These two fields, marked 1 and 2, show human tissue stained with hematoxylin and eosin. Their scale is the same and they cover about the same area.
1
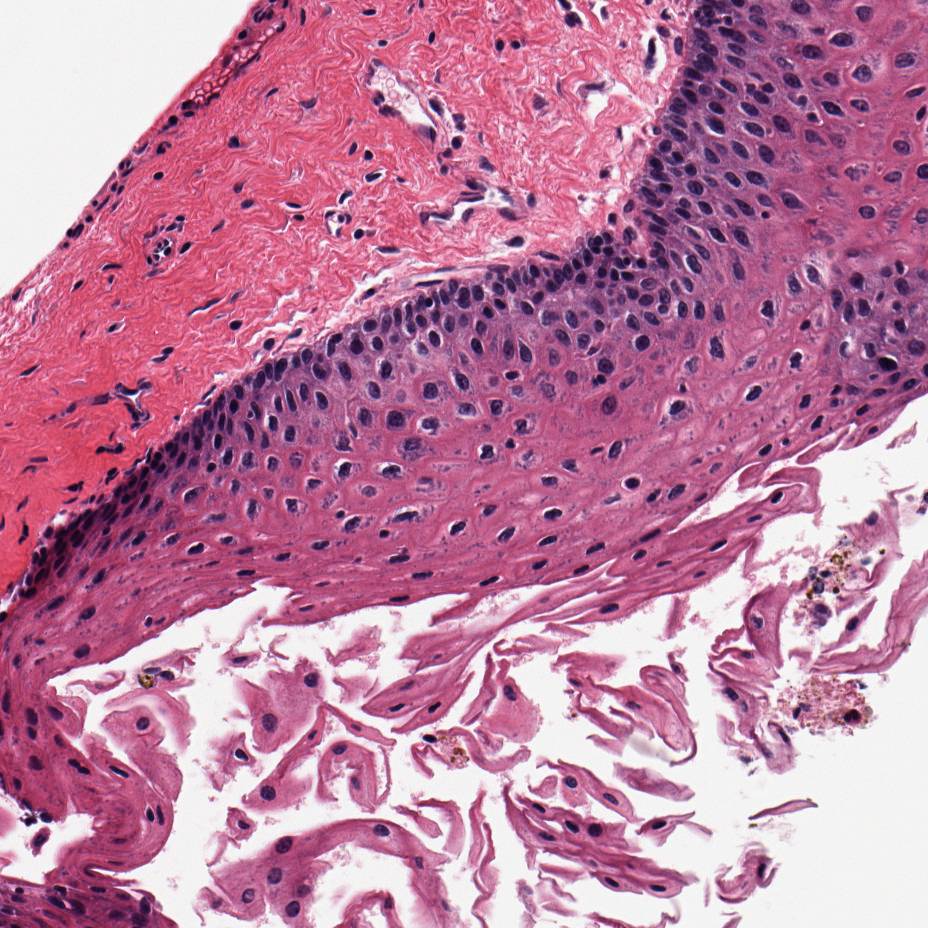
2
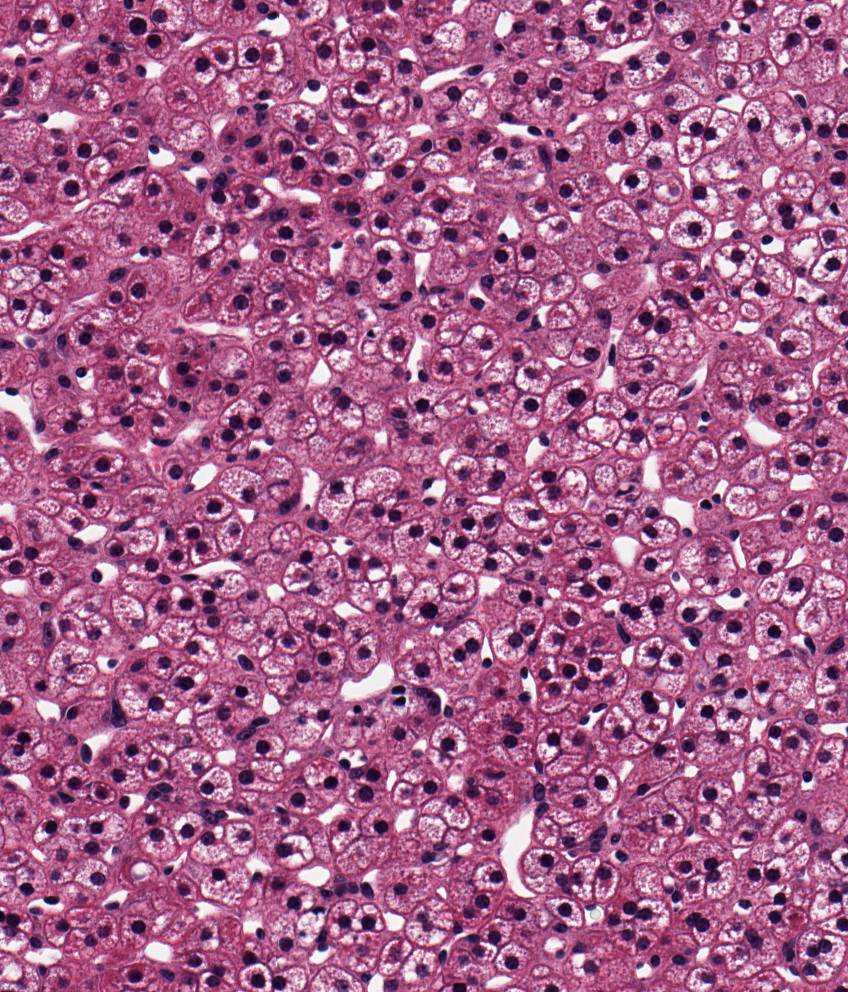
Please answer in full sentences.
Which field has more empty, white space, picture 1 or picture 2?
Unstained space takes up more of picture 1 than of picture 2.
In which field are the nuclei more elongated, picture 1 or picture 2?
Longer, more slender nuclei lie in picture 1.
